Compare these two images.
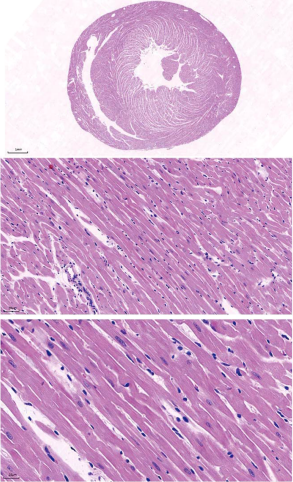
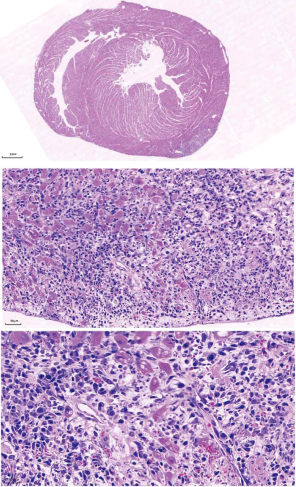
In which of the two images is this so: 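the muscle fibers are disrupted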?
the second image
